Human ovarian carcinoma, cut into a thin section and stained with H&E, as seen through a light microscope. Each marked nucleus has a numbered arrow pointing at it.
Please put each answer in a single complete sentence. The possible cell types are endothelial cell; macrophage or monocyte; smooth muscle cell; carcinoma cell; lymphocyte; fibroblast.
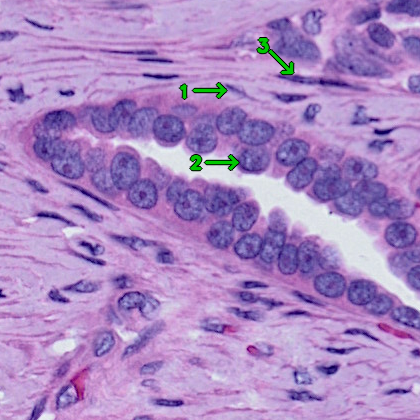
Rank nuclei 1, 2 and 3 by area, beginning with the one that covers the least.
From smallest to largest, the order is 1, 3, 2.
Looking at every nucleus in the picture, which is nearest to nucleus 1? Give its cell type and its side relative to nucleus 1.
A carcinoma cell lies closest, below nucleus 1.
